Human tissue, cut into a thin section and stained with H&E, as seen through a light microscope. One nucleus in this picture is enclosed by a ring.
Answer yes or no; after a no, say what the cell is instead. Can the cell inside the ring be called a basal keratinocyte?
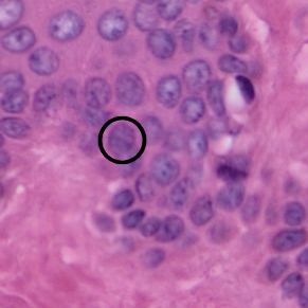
Yes.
